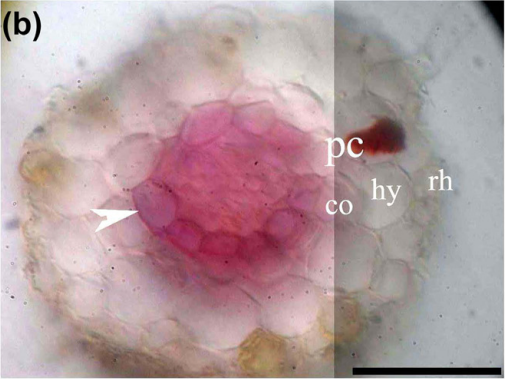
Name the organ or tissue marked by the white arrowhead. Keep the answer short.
Endodermis.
